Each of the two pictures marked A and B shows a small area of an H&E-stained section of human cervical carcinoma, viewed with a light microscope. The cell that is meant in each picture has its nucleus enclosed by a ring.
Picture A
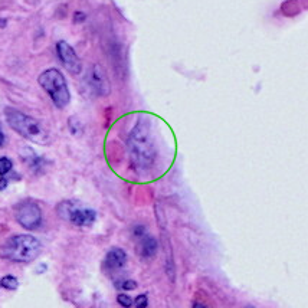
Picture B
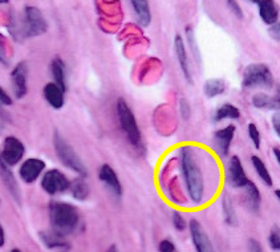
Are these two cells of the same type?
yes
